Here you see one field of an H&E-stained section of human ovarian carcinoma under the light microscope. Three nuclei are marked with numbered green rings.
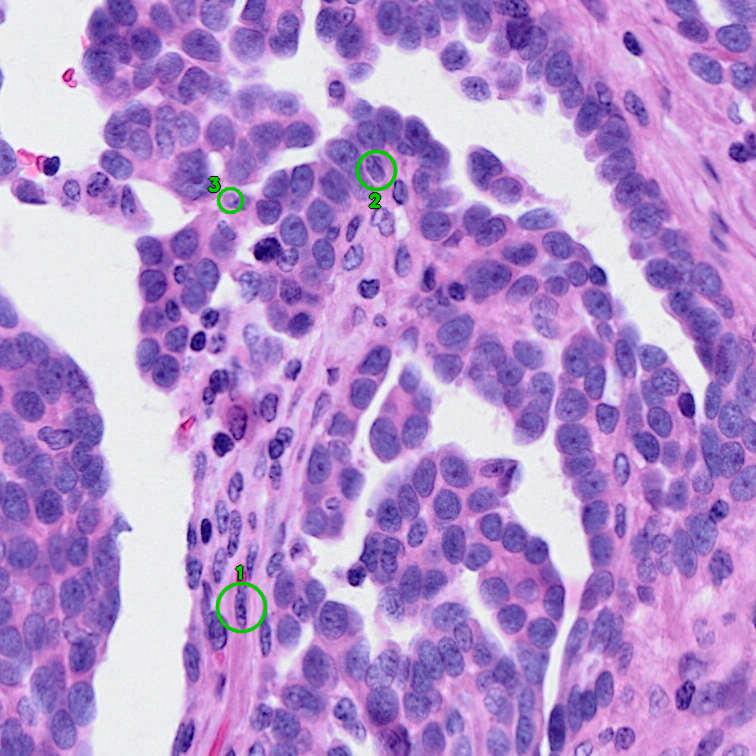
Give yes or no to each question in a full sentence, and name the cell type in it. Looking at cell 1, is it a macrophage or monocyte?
No. Cell number 1 is an endothelial cell, not a macrophage or monocyte.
